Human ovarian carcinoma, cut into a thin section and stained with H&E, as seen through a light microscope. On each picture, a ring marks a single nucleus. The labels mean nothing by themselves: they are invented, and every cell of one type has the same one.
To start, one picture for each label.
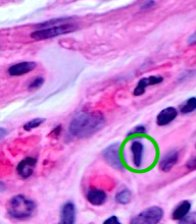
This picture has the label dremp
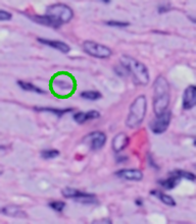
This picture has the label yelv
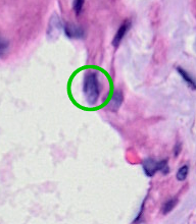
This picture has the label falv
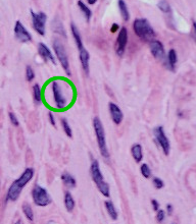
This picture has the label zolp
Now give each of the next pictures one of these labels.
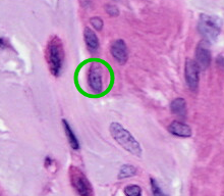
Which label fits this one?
zolp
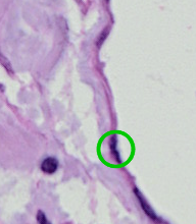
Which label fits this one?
falv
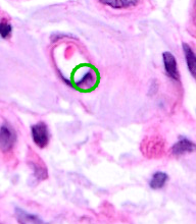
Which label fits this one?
falv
